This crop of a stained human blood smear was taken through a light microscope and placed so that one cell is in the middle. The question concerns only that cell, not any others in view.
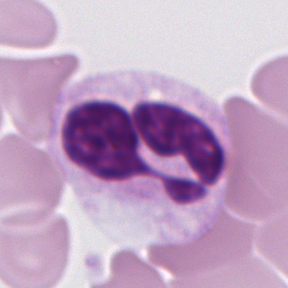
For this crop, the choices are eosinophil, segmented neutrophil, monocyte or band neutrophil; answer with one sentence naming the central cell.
The cell the crop is centered on is a segmented neutrophil.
